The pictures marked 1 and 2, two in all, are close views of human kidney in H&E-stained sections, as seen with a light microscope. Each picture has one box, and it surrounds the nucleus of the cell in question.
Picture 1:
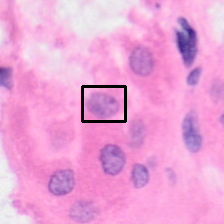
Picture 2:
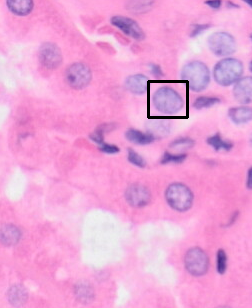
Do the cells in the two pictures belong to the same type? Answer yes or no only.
no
